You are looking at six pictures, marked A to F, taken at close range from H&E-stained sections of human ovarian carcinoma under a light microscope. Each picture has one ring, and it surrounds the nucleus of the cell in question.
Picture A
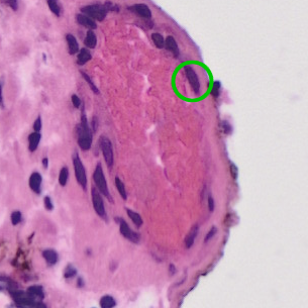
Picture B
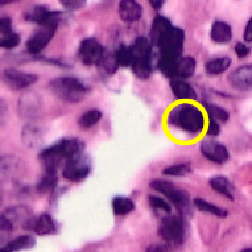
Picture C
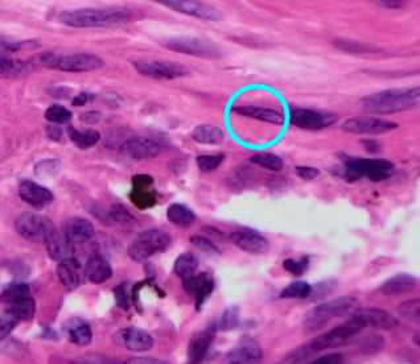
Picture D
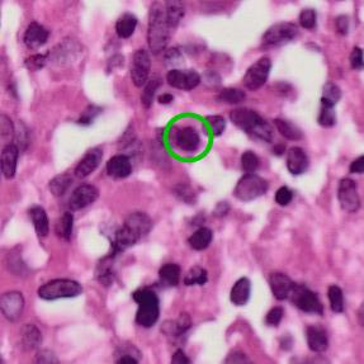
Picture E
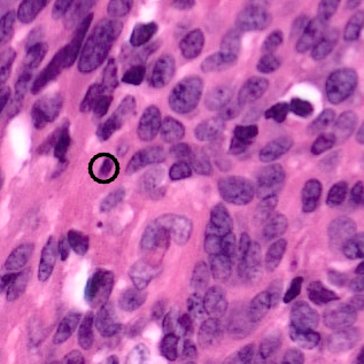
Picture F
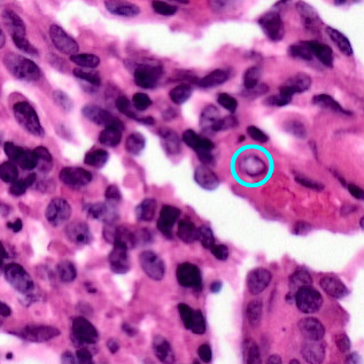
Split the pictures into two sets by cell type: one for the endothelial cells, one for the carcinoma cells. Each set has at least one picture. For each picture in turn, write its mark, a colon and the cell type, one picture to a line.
A: endothelial cell
B: carcinoma cell
C: endothelial cell
D: carcinoma cell
E: endothelial cell
F: endothelial cell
